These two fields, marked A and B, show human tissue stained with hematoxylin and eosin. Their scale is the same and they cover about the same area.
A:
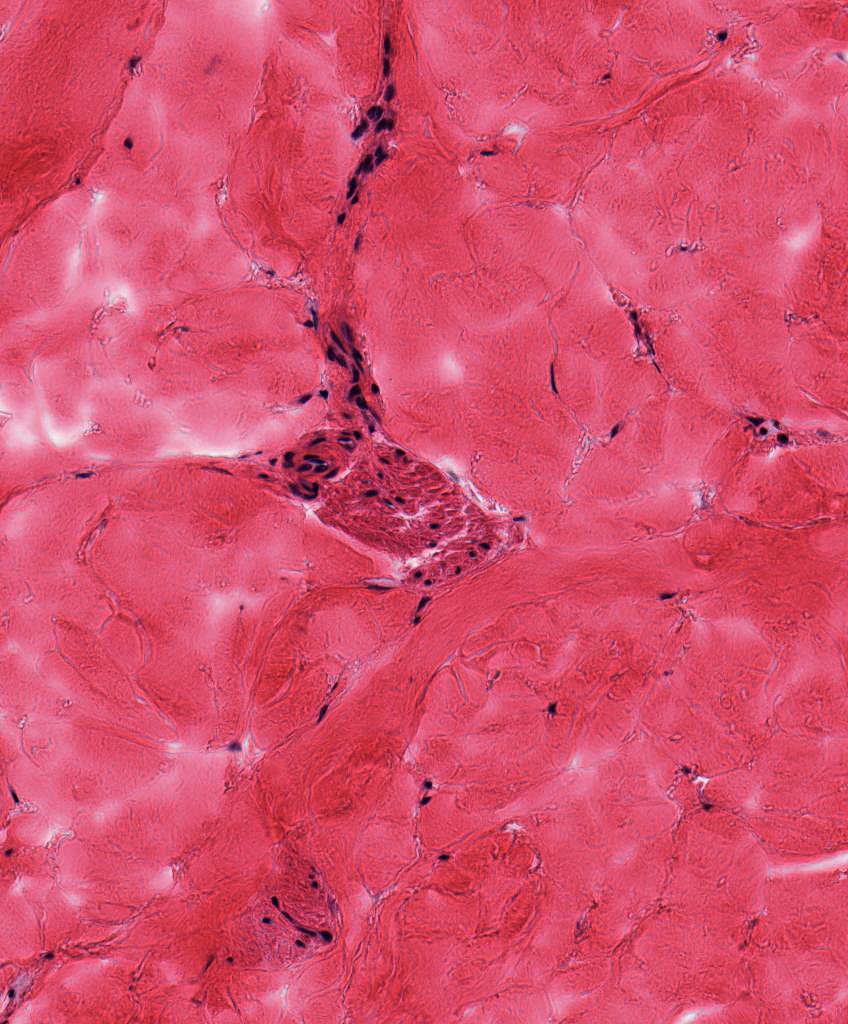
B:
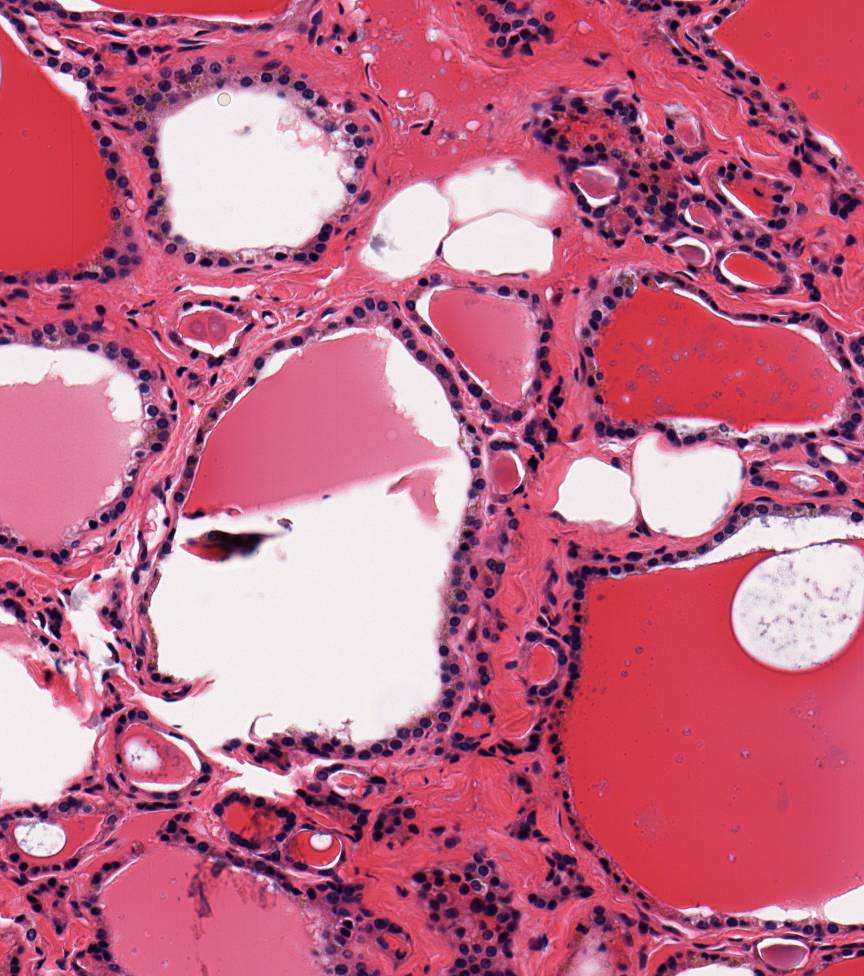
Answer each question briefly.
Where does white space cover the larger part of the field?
B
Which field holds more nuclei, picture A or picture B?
B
